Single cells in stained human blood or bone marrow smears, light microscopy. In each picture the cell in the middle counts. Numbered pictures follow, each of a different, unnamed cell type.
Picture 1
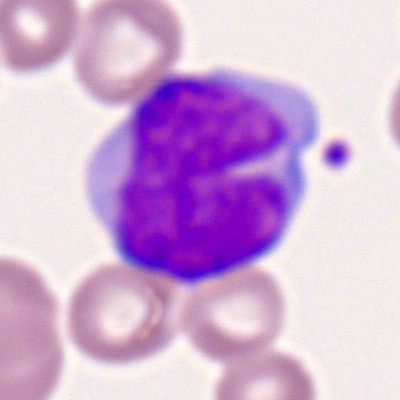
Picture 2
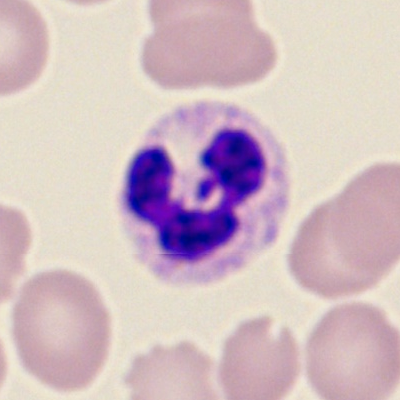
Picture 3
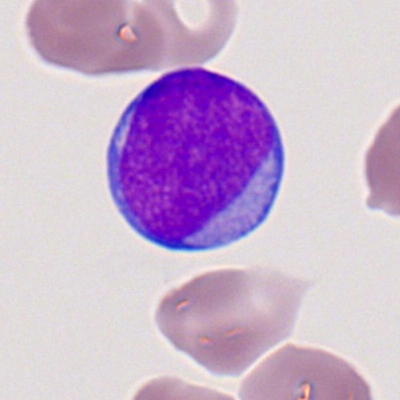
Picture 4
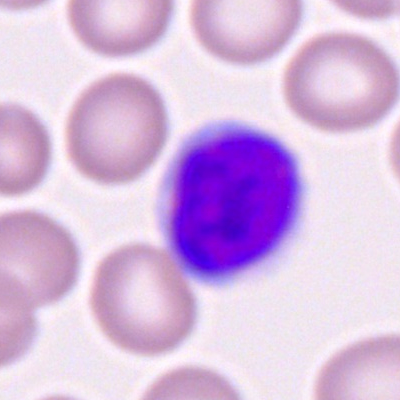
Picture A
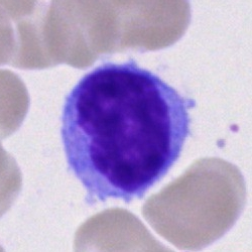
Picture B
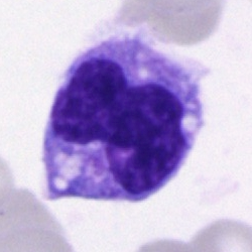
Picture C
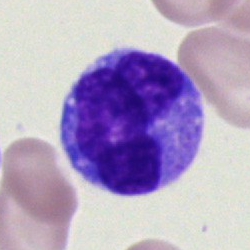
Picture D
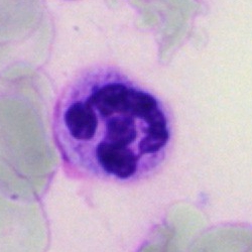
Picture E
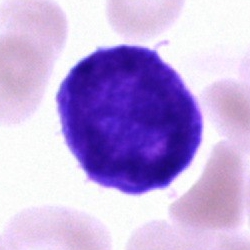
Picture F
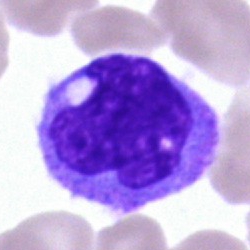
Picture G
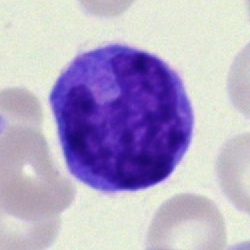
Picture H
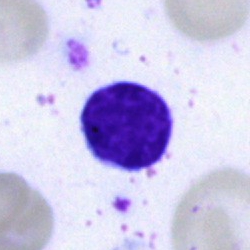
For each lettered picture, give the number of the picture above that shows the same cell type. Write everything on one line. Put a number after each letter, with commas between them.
A 4, B 1, C 1, D 2, E 3, F 1, G 1, H 4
